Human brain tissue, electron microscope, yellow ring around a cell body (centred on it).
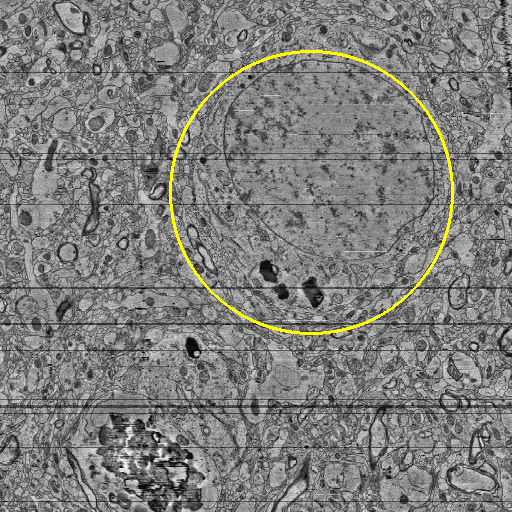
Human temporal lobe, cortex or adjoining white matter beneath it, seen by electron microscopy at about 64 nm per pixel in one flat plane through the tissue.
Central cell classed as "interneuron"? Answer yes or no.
no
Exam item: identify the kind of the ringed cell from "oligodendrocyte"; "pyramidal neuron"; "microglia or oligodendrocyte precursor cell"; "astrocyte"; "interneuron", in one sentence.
Instead, the ringed cell here is a pyramidal neuron.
